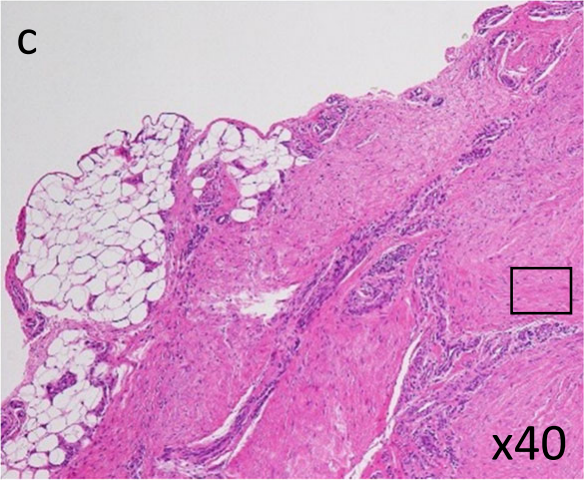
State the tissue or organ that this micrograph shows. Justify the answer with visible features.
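Most of the section is dense pink fibrillar tissue with sparse nuclei. Bundles of pink fibres run in streams across the field.
Answer: fibrous tissues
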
